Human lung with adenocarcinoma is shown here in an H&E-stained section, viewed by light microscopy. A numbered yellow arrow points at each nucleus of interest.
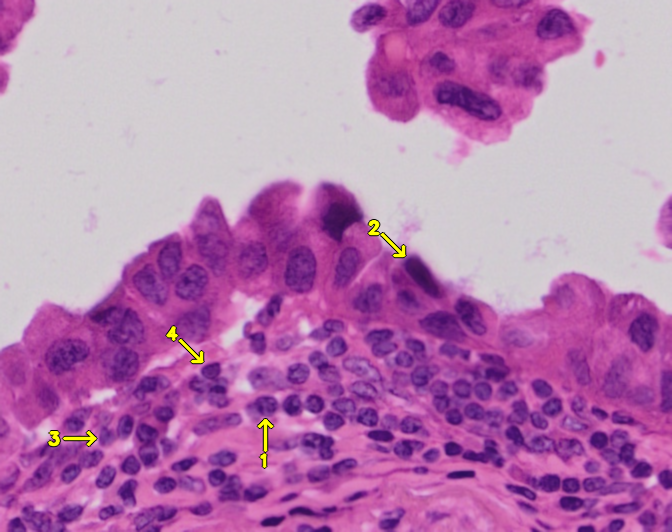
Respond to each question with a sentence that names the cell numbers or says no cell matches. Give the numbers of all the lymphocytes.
The numbers 1, 3 and 4 in this section indicate lymphocytes.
